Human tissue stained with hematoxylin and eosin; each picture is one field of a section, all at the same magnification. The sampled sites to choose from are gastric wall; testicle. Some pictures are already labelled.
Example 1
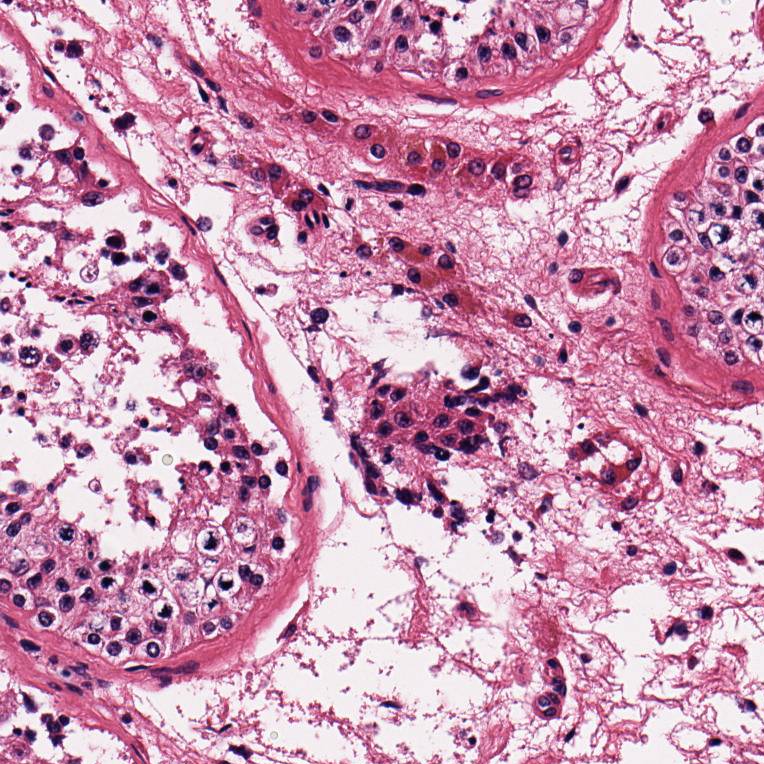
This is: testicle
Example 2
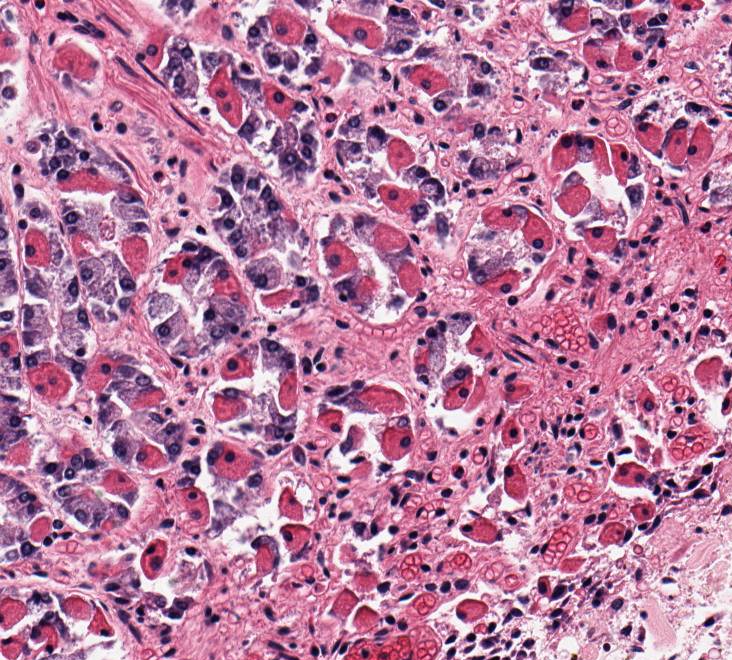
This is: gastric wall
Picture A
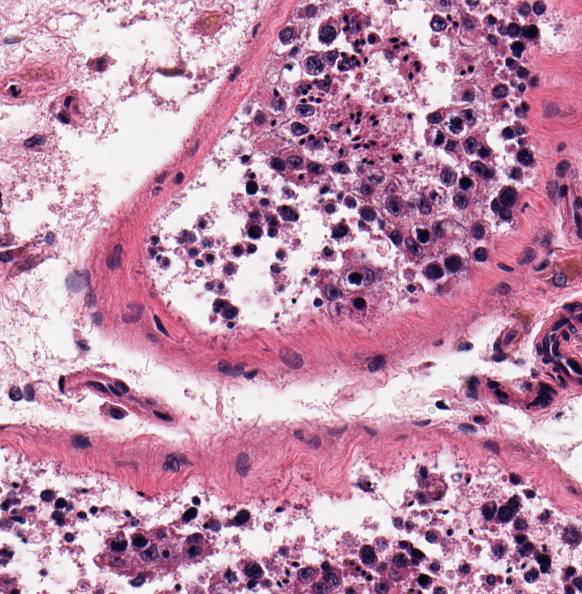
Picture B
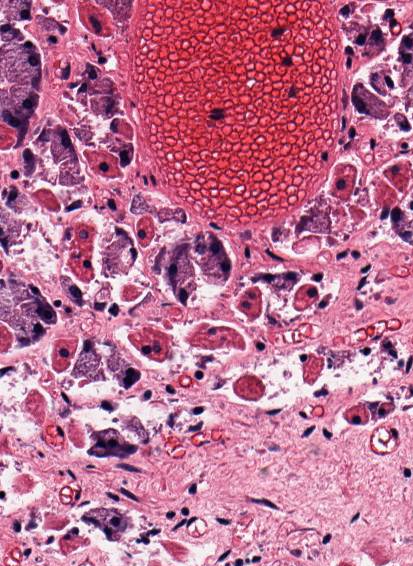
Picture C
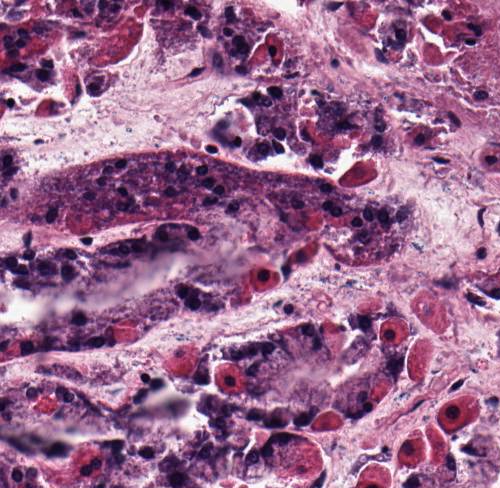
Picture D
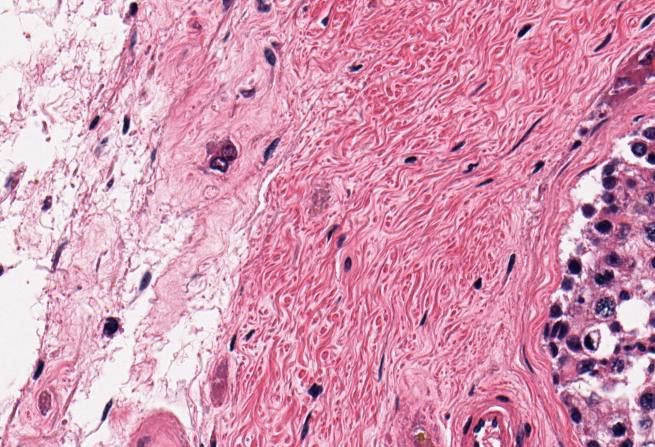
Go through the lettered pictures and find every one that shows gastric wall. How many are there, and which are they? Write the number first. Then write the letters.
2, namely B, C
